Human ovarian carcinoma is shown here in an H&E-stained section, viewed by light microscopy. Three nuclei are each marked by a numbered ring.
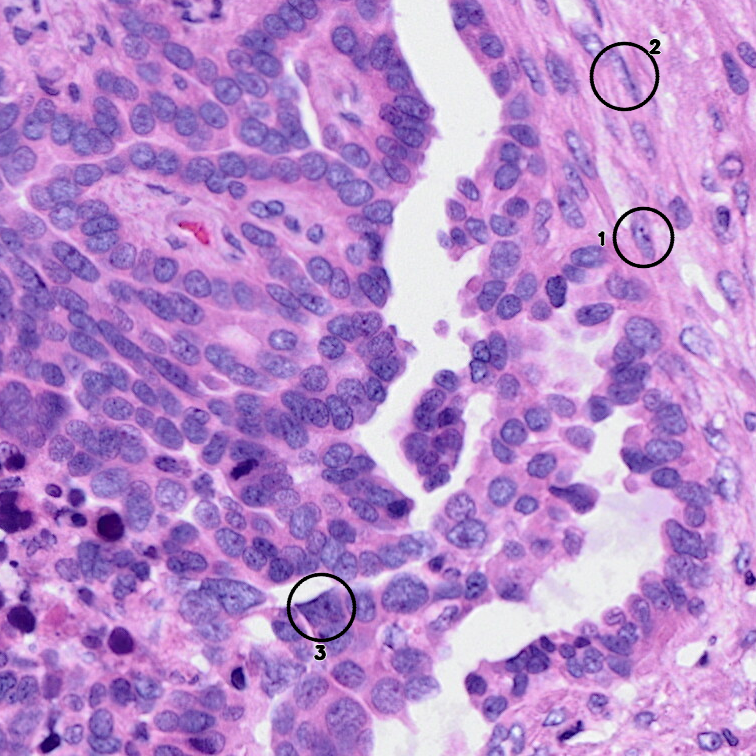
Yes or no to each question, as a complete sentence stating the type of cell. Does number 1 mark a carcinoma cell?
No, as for cell 1, it is a fibroblast and not a carcinoma cell.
